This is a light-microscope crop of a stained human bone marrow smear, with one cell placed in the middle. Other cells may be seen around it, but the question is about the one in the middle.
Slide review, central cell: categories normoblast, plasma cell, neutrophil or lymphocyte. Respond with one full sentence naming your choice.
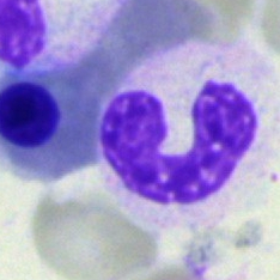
In short, the cell at the center is a neutrophil.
